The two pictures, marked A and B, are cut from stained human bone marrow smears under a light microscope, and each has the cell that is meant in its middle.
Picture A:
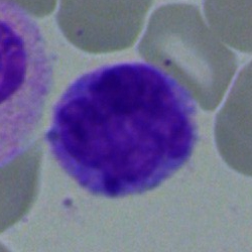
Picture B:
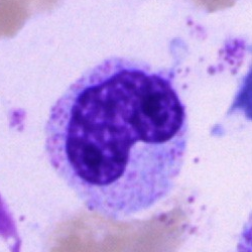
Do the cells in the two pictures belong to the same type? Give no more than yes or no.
no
